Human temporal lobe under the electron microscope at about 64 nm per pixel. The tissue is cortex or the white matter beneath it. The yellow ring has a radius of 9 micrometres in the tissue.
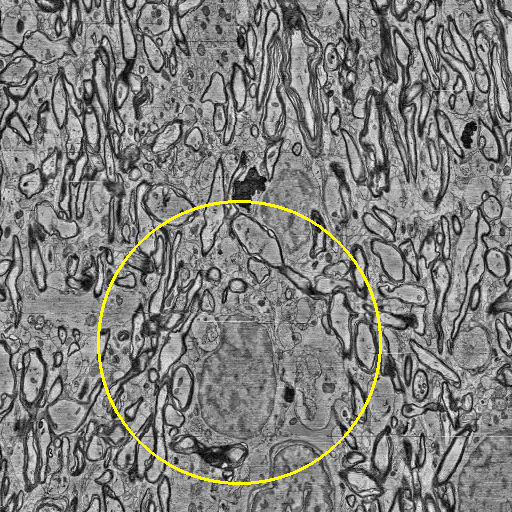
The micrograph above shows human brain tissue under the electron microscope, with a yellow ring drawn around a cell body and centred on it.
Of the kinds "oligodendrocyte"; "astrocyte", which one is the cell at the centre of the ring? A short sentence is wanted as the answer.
The one at the centre of the ring is an oligodendrocyte.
